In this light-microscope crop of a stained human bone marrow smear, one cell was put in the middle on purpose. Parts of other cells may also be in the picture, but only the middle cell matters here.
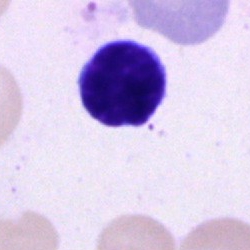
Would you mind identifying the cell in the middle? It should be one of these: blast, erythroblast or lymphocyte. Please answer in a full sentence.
As for the cell in the middle, it is a lymphocyte.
